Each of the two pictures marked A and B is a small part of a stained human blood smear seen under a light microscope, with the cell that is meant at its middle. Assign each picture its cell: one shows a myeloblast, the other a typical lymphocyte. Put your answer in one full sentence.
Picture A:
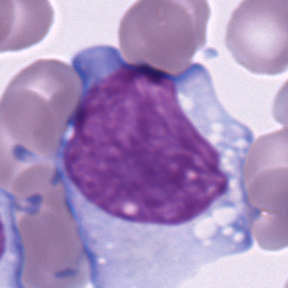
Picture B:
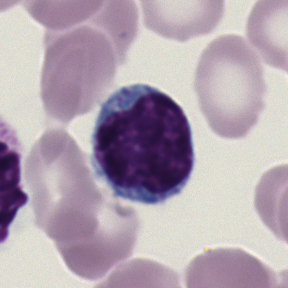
Picture A shows a myeloblast and picture B shows a typical lymphocyte.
